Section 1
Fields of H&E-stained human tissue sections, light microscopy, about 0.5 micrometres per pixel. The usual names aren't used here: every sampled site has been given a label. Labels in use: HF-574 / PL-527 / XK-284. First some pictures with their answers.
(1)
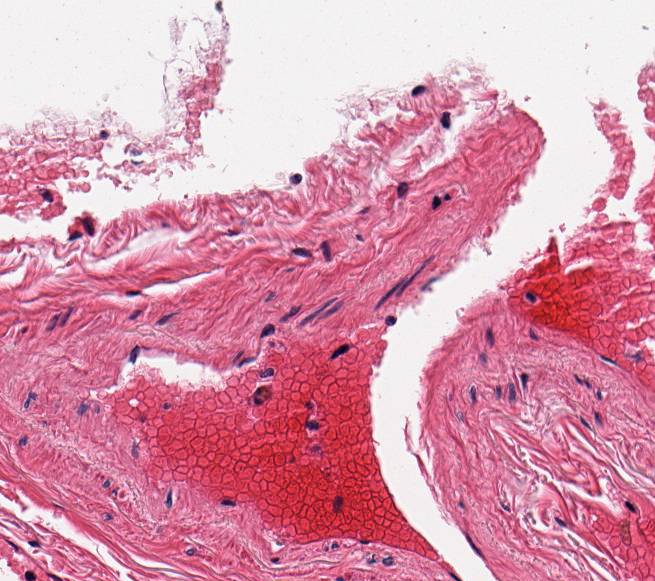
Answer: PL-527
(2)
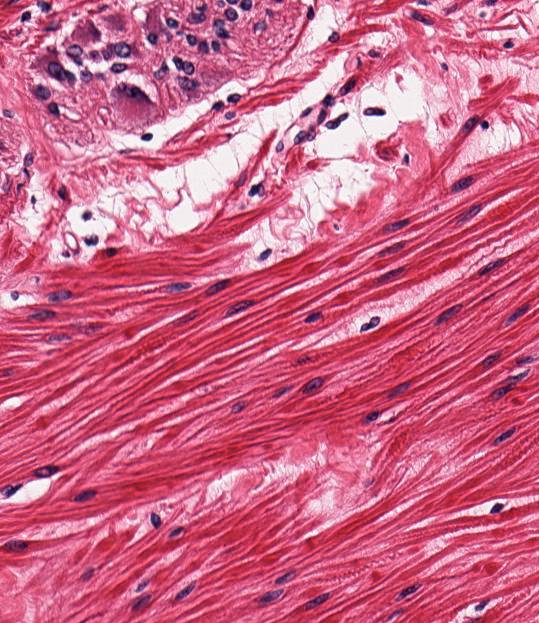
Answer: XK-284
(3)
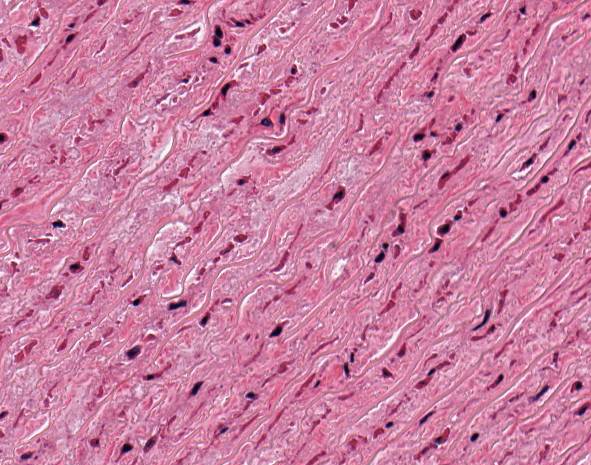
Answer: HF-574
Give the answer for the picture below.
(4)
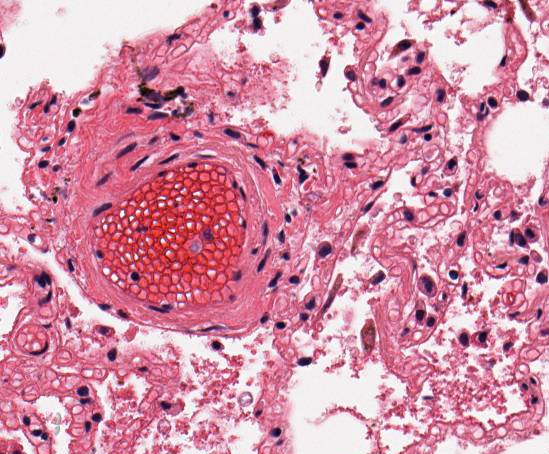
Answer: PL-527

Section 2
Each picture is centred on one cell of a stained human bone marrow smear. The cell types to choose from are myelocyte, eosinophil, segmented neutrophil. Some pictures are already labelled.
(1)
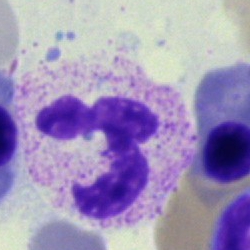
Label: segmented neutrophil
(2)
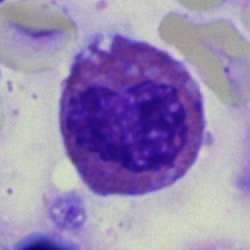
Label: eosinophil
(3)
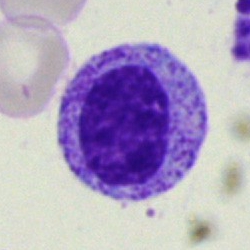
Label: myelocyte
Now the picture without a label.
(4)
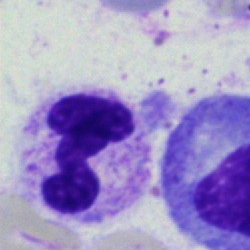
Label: segmented neutrophil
